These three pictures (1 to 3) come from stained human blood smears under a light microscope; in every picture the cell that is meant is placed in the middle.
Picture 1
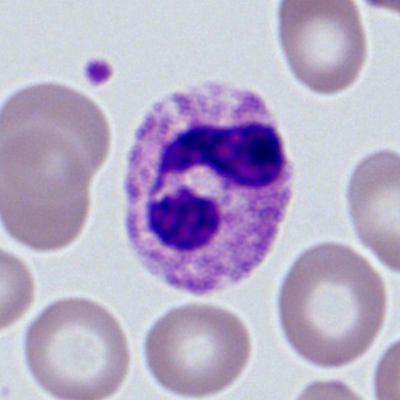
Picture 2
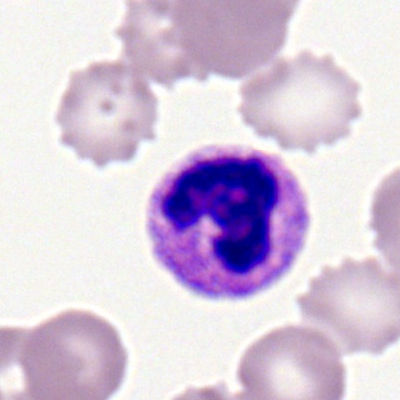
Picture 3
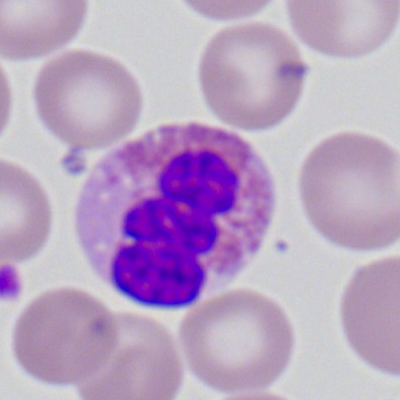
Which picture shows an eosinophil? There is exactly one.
3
